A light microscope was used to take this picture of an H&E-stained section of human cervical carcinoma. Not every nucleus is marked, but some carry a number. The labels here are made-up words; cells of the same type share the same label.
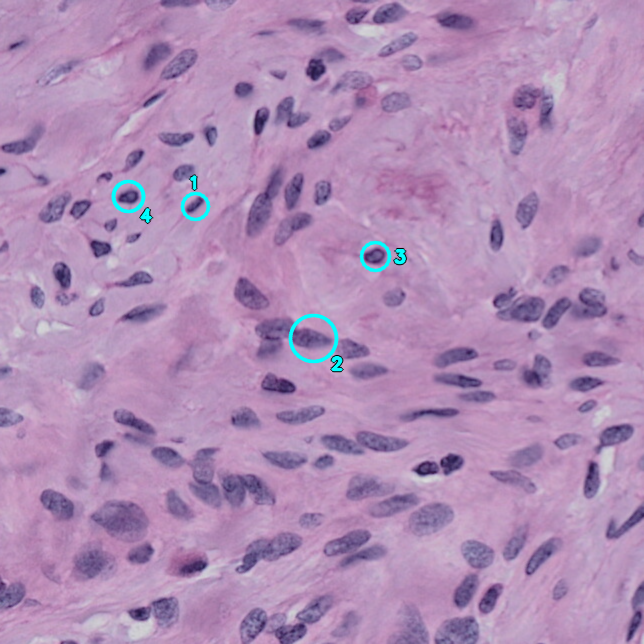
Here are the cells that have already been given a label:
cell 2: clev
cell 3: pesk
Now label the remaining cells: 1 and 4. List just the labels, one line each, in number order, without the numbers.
clev
clev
